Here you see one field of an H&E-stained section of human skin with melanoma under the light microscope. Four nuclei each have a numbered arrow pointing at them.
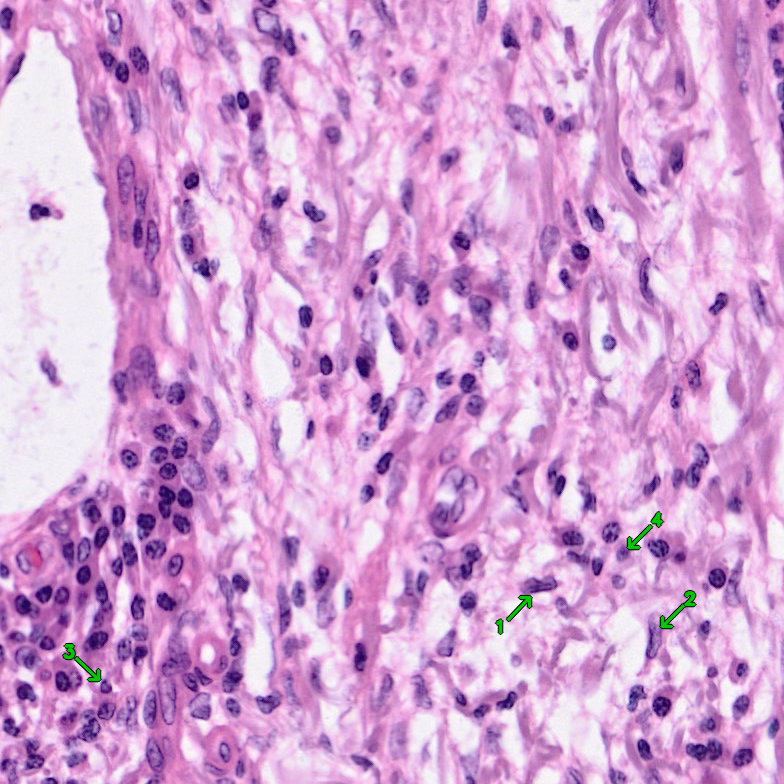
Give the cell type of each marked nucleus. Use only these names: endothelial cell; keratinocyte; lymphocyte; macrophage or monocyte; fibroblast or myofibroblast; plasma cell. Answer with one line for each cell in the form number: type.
1: macrophage or monocyte
2: fibroblast or myofibroblast
3: plasma cell
4: plasma cell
